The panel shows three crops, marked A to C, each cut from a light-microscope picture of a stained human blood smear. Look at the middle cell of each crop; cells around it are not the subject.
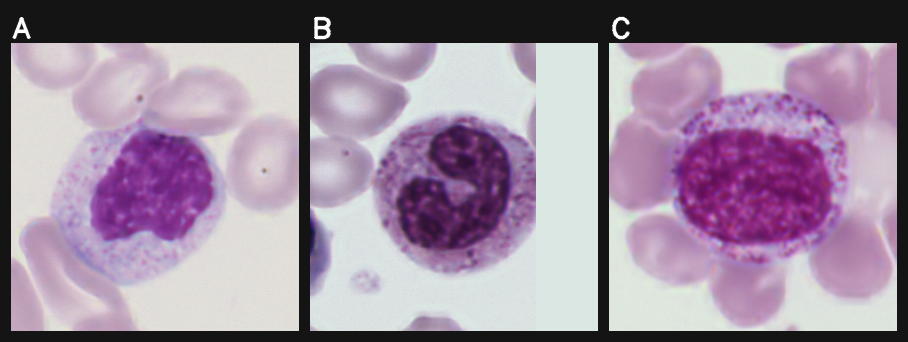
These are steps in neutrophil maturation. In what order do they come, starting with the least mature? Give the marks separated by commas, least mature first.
C, A, B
